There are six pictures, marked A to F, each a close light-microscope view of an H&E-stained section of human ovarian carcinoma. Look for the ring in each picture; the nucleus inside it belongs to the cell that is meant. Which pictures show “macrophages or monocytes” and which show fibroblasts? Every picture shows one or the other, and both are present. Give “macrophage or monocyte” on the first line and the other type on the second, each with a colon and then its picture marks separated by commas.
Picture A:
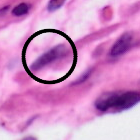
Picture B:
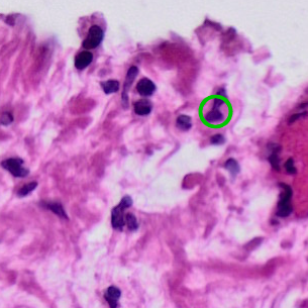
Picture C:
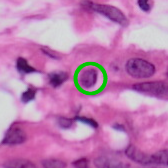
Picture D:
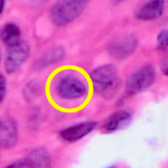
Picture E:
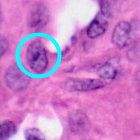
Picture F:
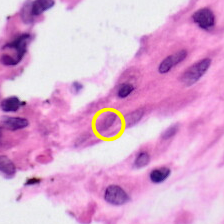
macrophage or monocyte: B, C, D, E
fibroblast: A, F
